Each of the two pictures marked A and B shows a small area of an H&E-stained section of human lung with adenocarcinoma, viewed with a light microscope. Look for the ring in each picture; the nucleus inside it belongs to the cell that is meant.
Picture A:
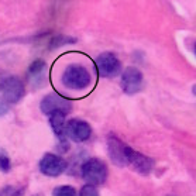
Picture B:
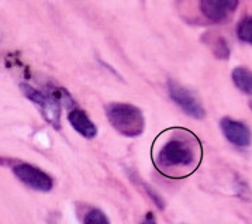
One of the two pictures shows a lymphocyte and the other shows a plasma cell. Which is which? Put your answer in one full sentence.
The cell in picture A is a lymphocyte, and the one in picture B is a plasma cell.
